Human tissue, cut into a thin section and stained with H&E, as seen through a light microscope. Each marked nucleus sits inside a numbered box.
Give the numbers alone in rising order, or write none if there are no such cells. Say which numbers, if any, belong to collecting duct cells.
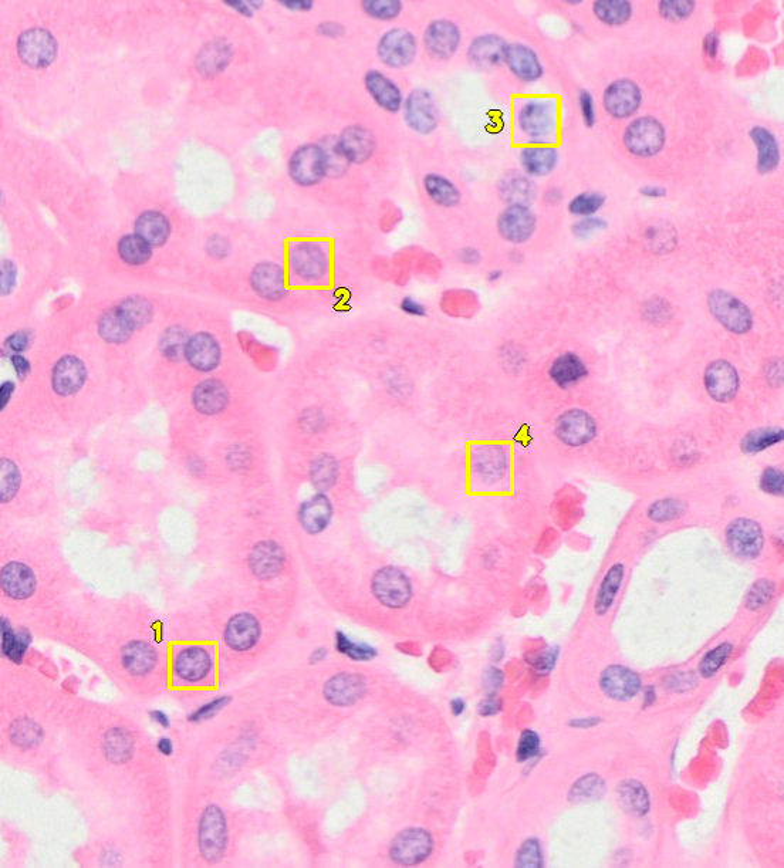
3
